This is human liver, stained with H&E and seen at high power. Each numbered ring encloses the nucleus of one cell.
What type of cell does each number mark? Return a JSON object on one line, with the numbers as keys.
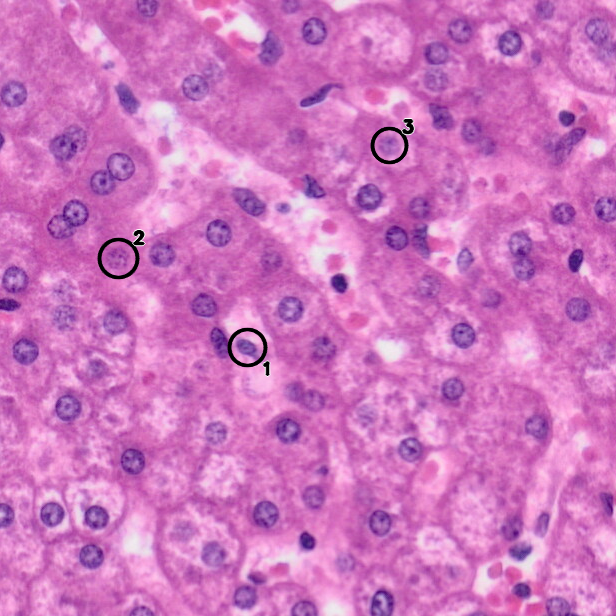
{"1": "lymphocyte", "2": "hepatocyte", "3": "hepatocyte"}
